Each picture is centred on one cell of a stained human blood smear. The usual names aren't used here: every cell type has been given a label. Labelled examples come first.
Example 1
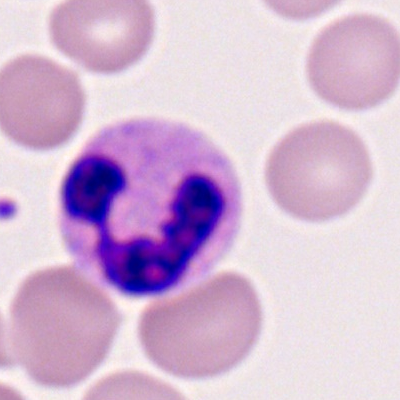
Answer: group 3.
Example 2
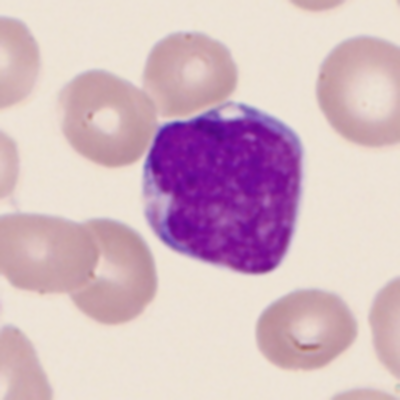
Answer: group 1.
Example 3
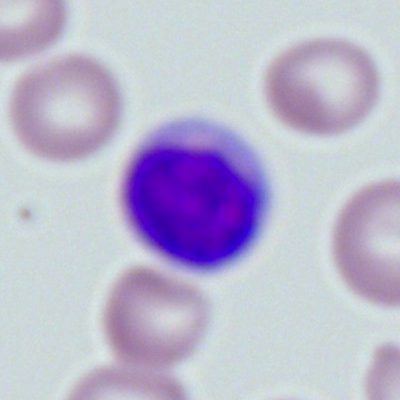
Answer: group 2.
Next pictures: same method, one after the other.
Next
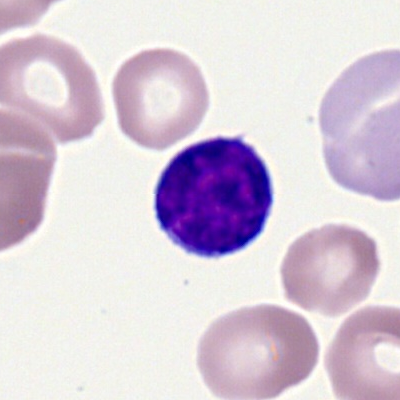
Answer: group 2.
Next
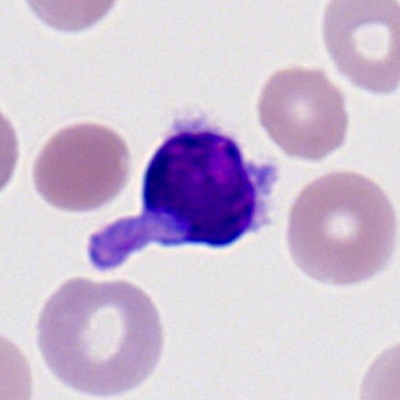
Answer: group 2.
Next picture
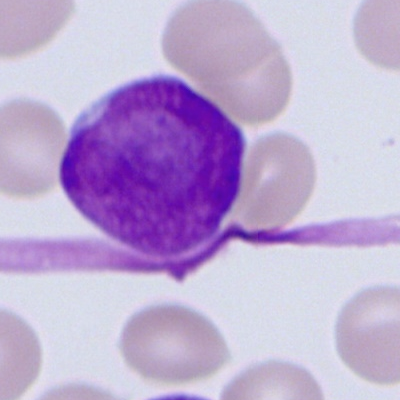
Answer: group 1.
